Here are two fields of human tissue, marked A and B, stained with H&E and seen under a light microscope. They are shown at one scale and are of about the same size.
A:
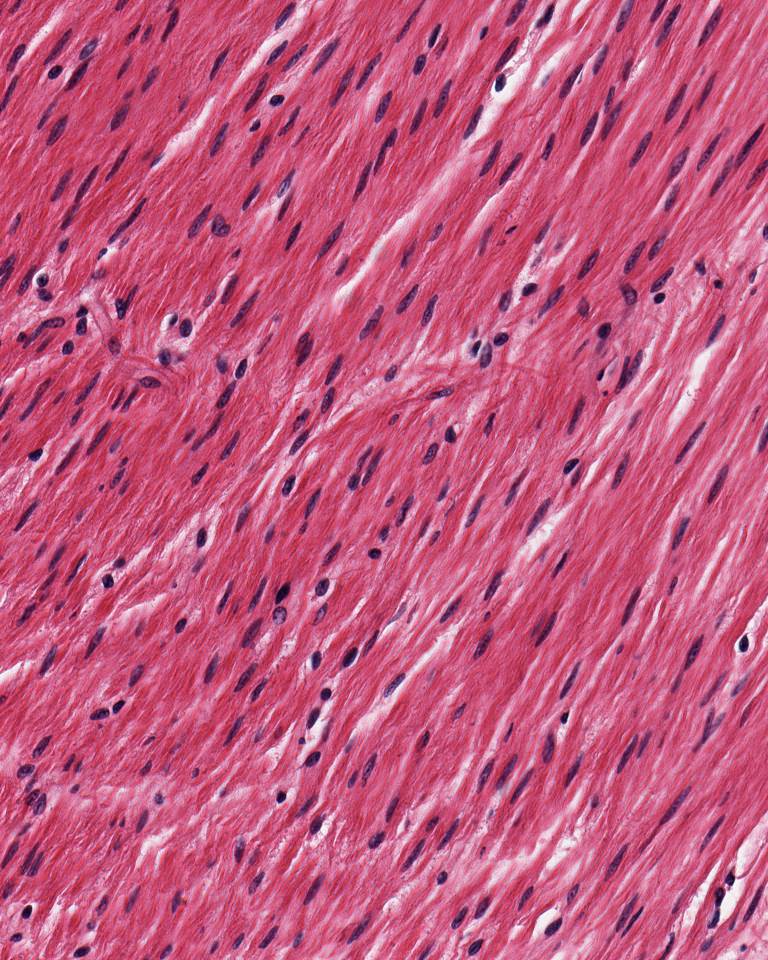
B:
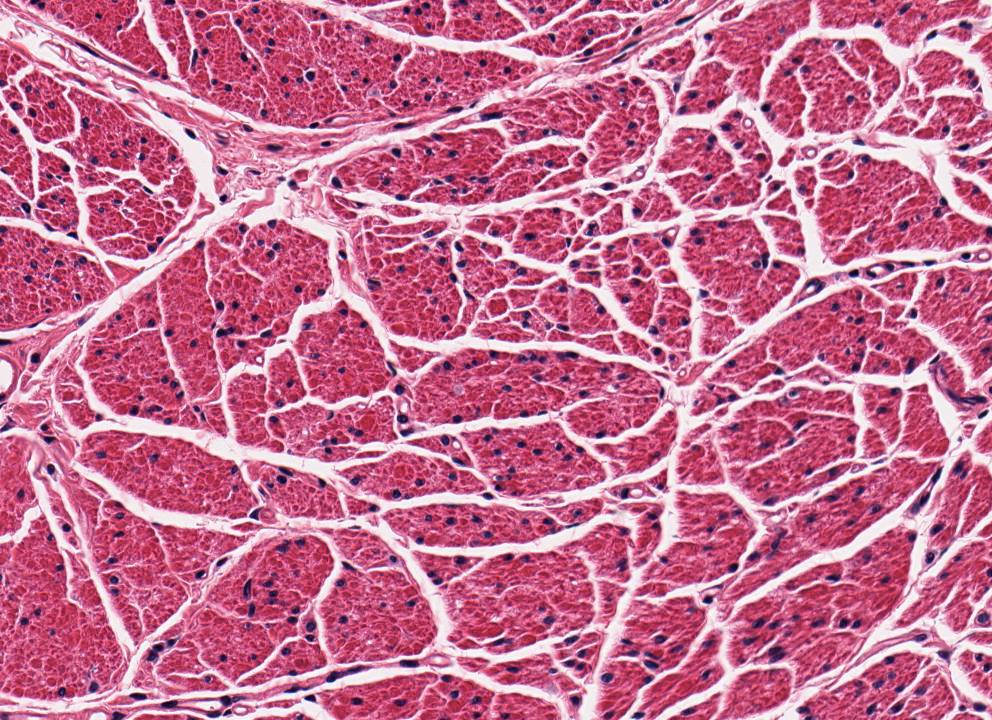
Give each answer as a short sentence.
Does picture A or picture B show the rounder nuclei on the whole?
The nuclei are rounder in picture B.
